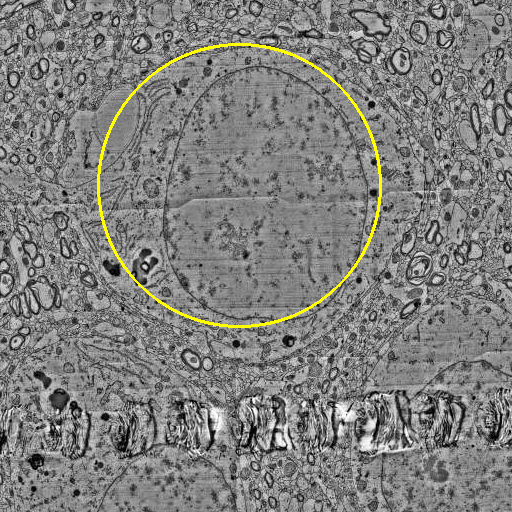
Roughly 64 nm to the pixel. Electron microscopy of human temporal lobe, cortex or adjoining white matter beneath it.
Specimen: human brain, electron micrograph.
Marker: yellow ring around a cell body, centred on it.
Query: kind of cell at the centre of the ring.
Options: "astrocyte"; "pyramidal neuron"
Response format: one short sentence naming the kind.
This cell body belongs to a pyramidal neuron.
